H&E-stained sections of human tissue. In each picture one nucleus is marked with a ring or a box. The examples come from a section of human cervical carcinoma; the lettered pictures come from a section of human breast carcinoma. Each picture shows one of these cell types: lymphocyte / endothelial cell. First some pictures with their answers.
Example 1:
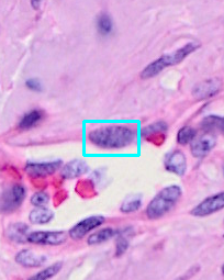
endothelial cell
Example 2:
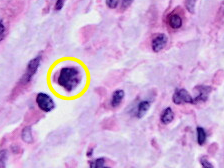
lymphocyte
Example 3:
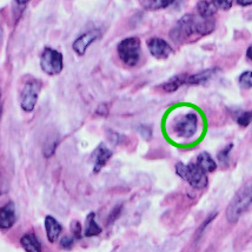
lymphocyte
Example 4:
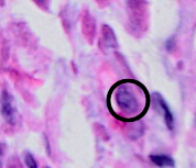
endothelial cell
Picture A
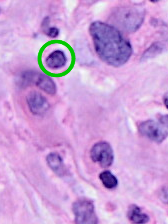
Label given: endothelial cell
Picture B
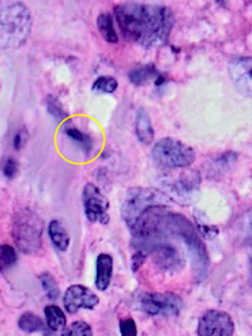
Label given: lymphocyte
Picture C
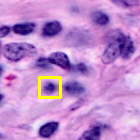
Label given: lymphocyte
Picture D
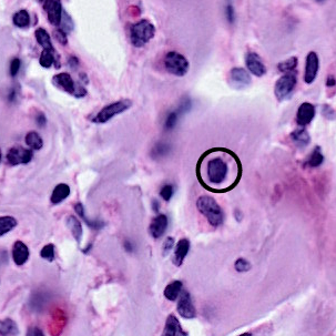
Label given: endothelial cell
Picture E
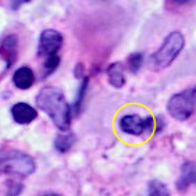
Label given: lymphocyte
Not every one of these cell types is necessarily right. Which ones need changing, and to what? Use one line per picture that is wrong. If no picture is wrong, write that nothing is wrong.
A should be lymphocyte, not endothelial cell
D should be lymphocyte, not endothelial cell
